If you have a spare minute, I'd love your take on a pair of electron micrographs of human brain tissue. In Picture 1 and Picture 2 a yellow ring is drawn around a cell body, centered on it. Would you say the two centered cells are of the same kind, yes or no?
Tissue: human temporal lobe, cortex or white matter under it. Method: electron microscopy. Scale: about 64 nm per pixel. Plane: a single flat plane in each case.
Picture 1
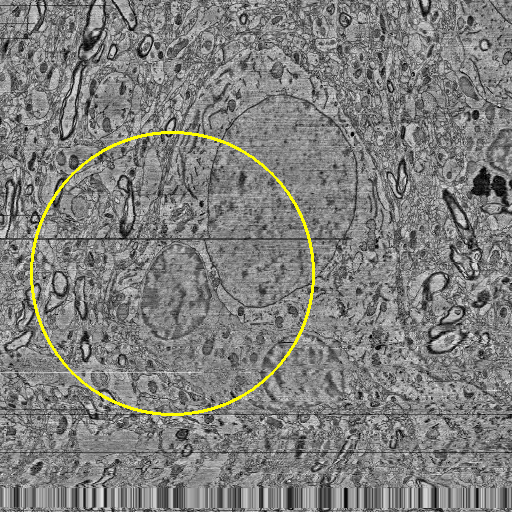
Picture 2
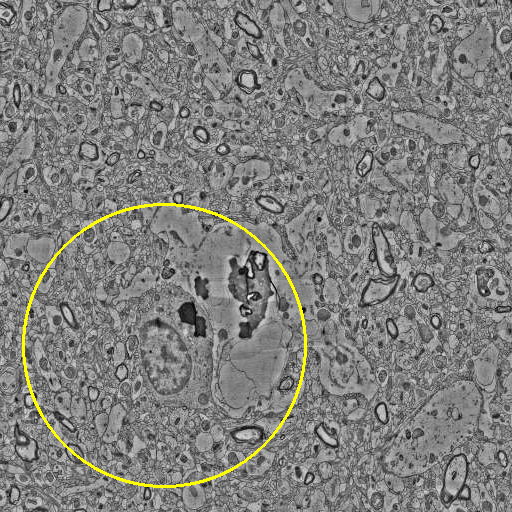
yes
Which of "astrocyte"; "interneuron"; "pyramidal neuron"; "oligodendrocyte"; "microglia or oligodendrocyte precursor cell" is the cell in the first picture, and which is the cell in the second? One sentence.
Each of the two pictures has an oligodendrocyte at the ring centre.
